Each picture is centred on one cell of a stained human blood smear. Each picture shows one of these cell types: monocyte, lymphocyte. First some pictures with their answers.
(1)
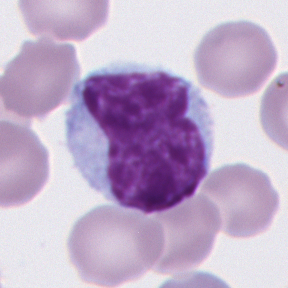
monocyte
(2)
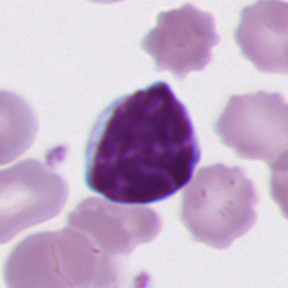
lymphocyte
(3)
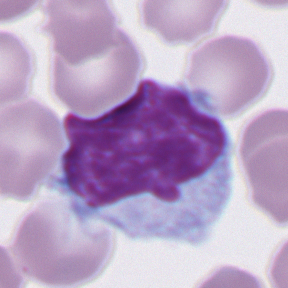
monocyte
